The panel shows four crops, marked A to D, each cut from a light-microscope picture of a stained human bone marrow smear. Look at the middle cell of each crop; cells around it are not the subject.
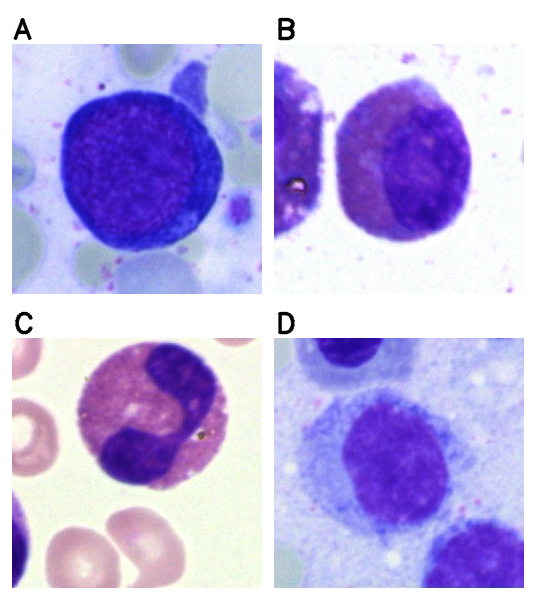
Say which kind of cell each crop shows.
A: proerythroblast
B: eosinophil
C: eosinophil
D: hairy cell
